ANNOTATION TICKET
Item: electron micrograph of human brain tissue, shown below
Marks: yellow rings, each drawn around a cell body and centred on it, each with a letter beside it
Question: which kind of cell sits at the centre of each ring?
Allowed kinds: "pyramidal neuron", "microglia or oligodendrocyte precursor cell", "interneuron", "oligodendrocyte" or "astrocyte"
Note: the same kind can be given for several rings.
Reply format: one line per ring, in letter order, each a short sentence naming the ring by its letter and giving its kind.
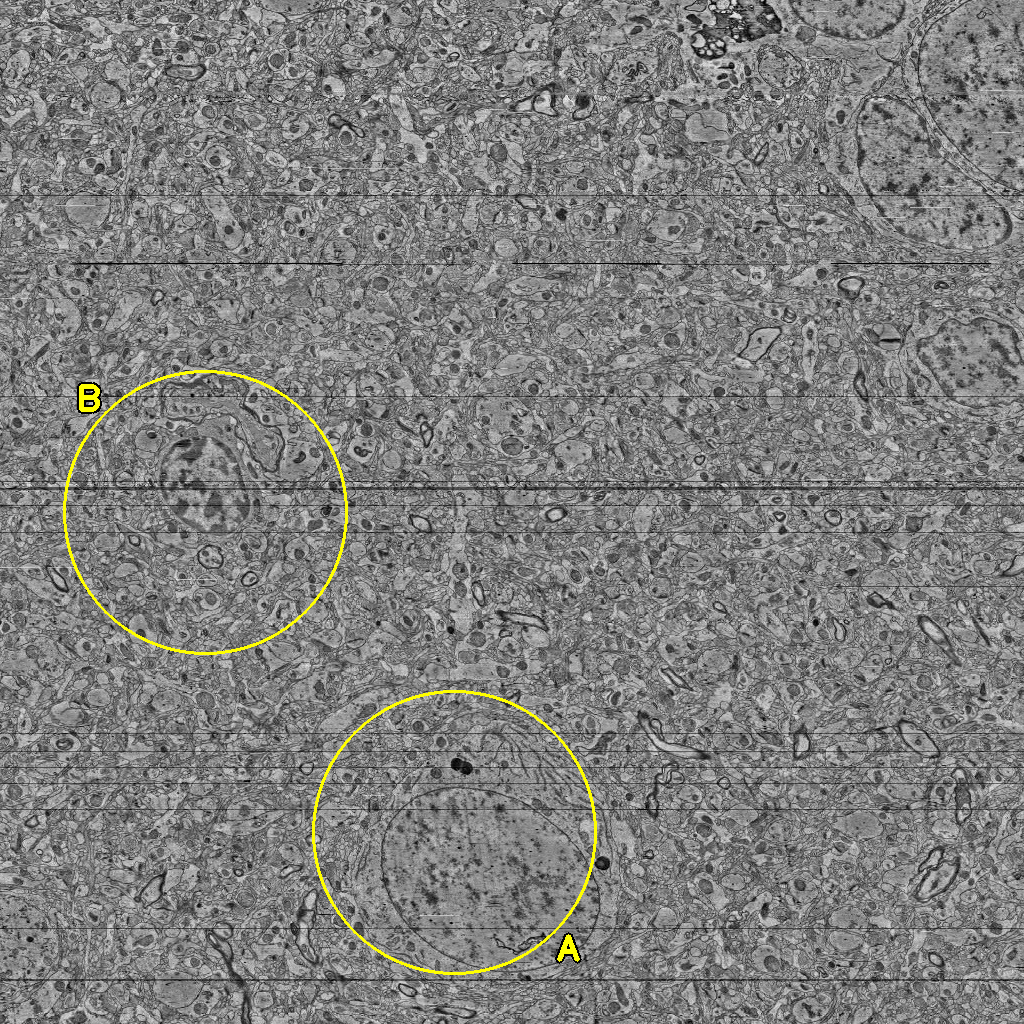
The cell at the centre of ring A is a pyramidal neuron.
The cell at the centre of ring B is an oligodendrocyte.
